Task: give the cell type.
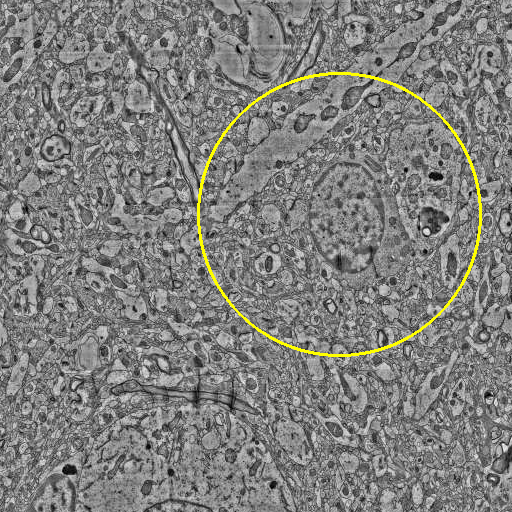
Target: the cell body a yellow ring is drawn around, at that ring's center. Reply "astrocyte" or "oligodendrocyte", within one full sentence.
In this picture, the cell whose body lies at the ring's center is an oligodendrocyte.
